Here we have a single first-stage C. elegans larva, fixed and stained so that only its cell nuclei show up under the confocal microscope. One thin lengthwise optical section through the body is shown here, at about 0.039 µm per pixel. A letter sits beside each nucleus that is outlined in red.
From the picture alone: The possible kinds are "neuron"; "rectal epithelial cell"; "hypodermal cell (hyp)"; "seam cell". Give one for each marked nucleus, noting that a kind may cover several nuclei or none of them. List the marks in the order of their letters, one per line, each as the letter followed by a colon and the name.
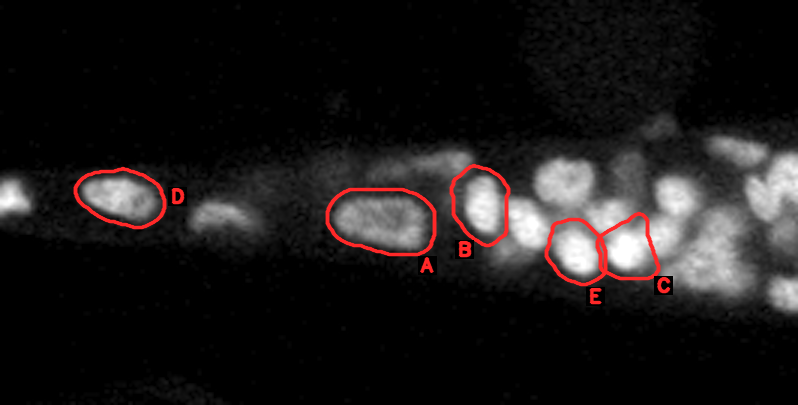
A: seam cell
B: neuron
C: neuron
D: hypodermal cell (hyp)
E: neuron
